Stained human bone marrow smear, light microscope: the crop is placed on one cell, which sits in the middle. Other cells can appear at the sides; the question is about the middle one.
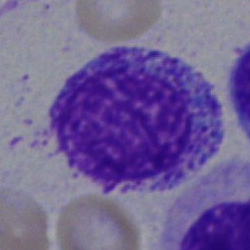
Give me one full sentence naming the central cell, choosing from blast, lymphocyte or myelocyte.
As for the cell in the middle, it is a myelocyte.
